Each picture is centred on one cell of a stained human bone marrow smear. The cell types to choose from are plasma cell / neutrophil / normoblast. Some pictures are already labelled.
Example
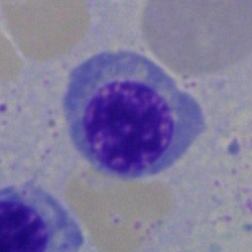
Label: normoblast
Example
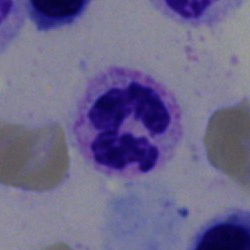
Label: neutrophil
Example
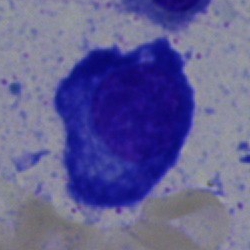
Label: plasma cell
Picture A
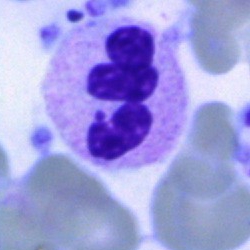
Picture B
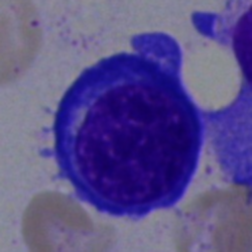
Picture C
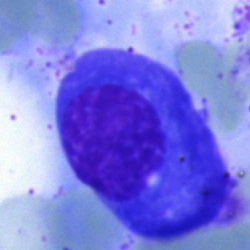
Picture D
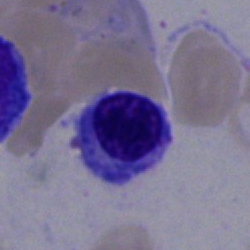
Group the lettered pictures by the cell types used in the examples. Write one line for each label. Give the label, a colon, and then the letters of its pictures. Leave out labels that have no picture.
plasma cell: C
neutrophil: A
normoblast: B, D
